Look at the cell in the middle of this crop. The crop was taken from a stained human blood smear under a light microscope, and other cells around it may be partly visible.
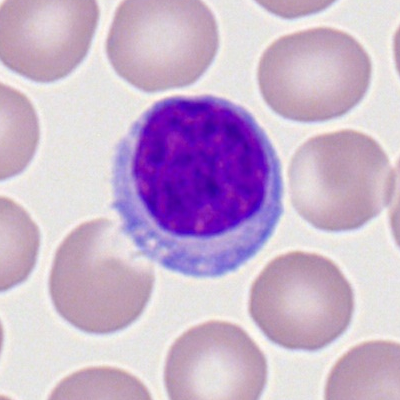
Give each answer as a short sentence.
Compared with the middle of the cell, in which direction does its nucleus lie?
The nucleus is pushed toward the top of the cell.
